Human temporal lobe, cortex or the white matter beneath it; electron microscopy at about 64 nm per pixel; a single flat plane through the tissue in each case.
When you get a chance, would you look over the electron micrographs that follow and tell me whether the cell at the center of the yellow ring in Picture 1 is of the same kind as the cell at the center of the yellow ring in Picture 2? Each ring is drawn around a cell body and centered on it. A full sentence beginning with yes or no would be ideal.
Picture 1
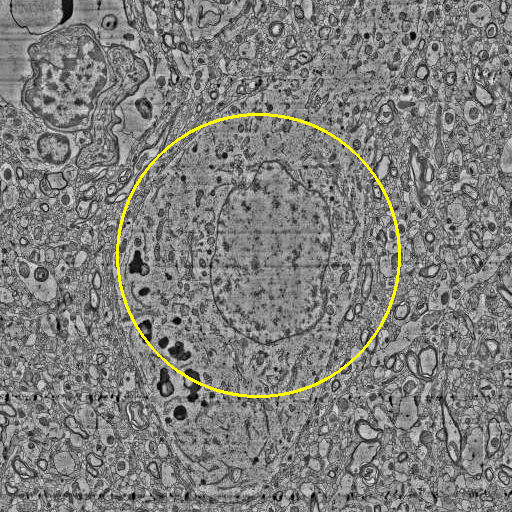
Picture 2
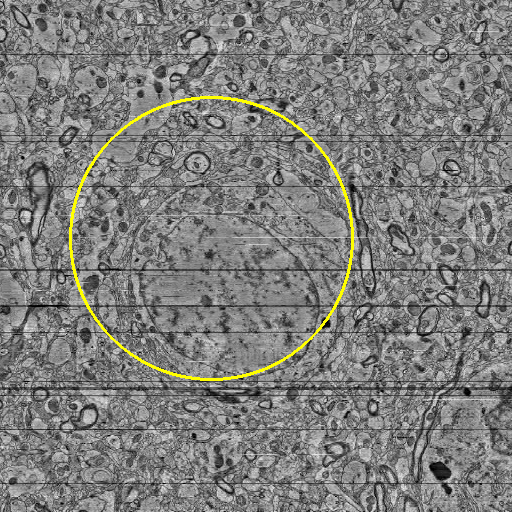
Yes, the two cells are of the same kind.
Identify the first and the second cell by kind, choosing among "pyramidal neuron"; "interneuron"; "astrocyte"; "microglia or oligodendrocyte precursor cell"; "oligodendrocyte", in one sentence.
Each of the two cells is a pyramidal neuron.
